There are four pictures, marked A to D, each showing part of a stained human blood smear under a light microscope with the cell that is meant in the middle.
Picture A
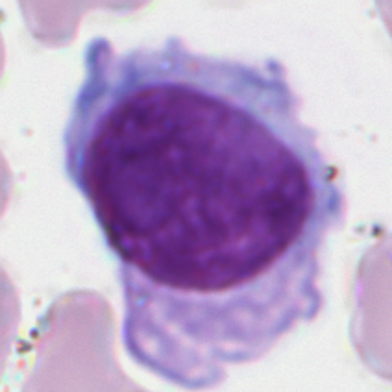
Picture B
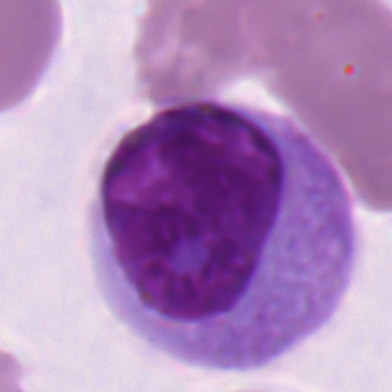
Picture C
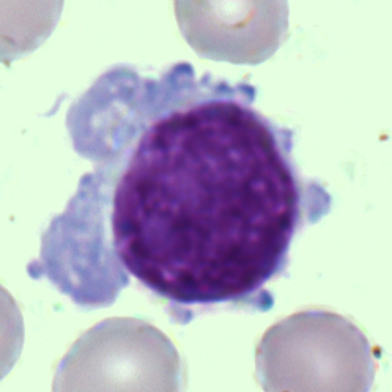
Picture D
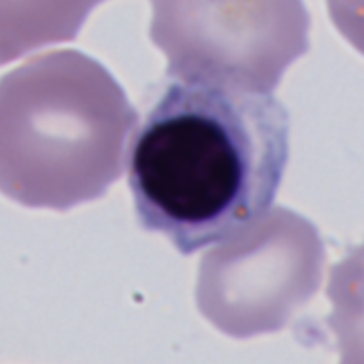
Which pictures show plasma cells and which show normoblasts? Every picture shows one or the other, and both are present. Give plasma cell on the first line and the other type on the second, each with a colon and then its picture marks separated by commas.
plasma cell: A, B, C
normoblast: D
